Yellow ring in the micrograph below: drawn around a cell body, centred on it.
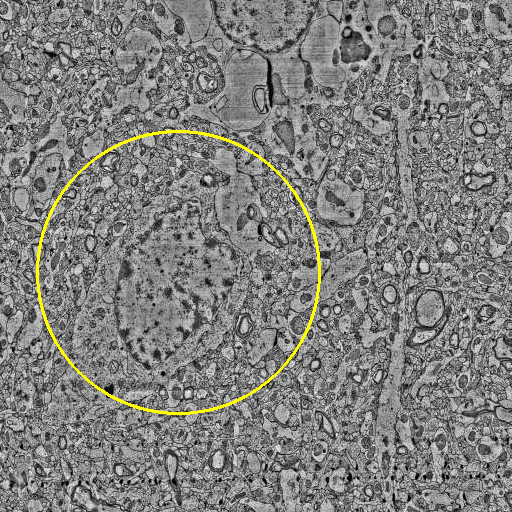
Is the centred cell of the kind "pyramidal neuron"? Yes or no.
no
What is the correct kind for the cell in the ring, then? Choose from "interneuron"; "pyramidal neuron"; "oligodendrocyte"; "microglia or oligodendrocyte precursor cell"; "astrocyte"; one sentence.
The cell shown in the ring is an interneuron.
